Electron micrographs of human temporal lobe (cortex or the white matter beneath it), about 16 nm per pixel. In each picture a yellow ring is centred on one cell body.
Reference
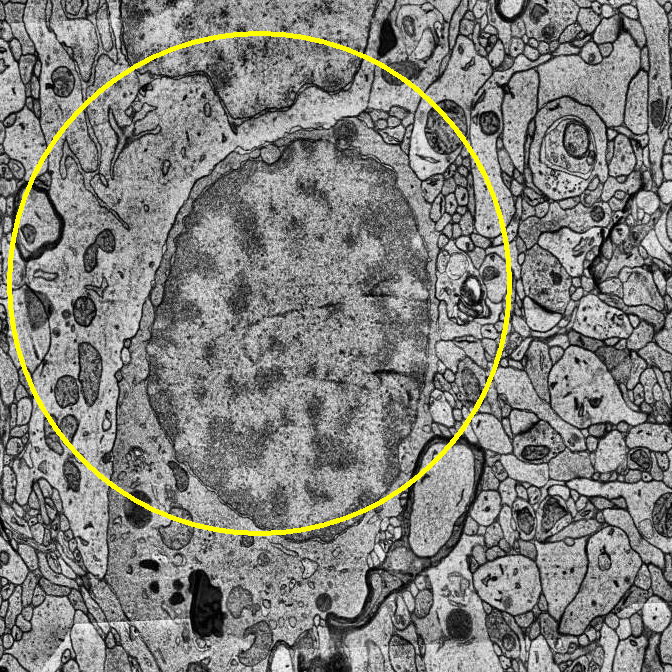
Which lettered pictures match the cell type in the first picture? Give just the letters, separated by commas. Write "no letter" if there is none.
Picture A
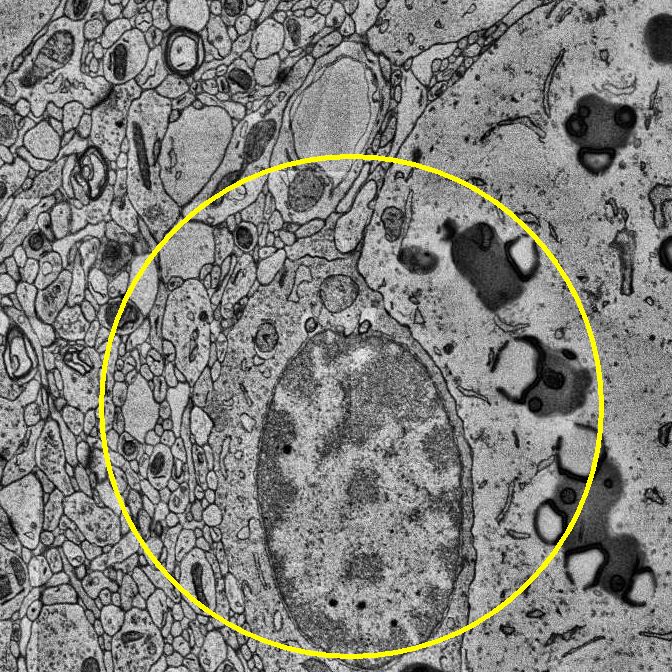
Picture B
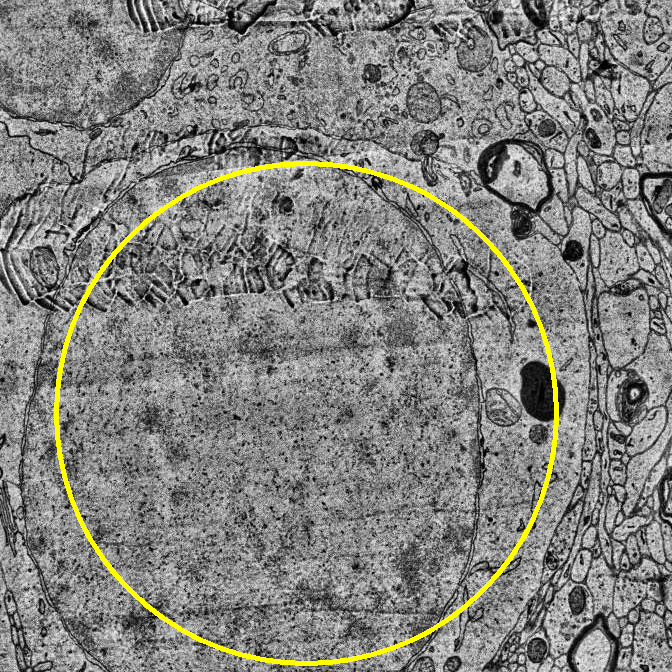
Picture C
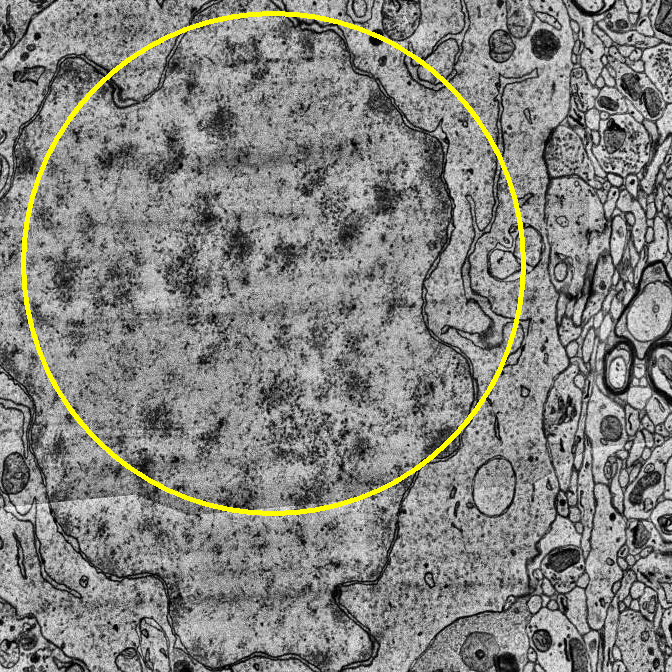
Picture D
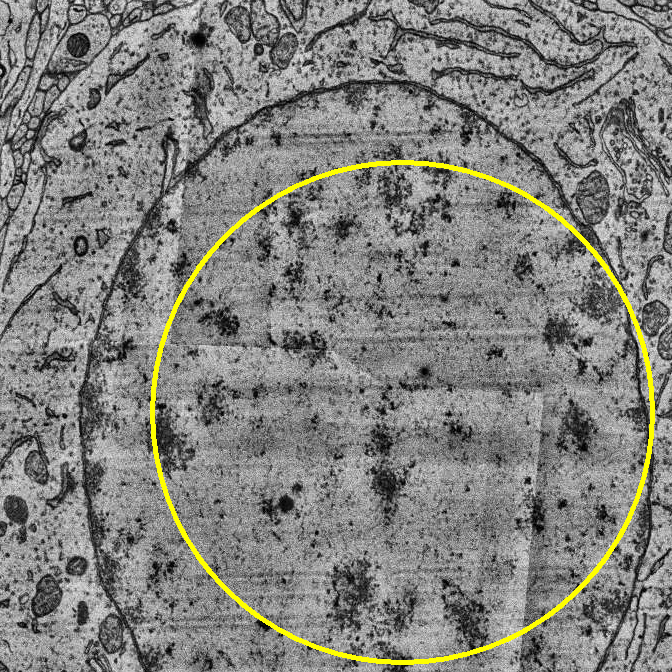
A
